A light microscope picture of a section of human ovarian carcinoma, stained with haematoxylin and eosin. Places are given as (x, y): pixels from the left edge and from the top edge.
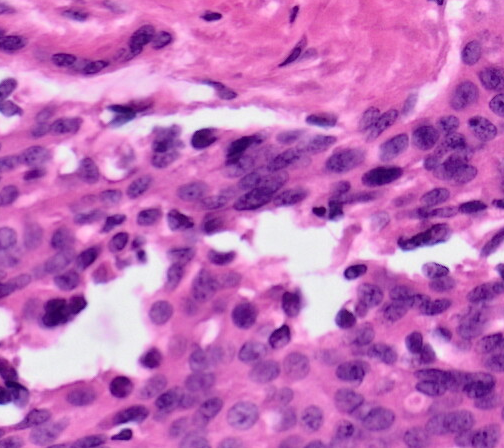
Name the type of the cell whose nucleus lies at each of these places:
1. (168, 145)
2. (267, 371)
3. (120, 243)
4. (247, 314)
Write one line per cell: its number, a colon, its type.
1: carcinoma cell
2: carcinoma cell
3: macrophage or monocyte
4: carcinoma cell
